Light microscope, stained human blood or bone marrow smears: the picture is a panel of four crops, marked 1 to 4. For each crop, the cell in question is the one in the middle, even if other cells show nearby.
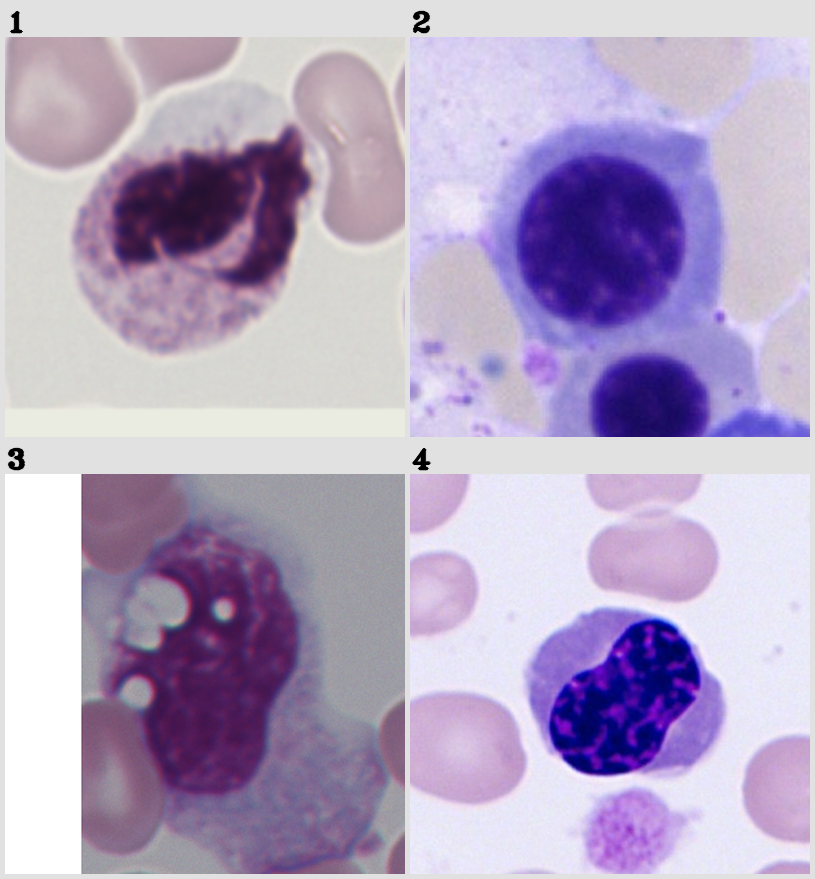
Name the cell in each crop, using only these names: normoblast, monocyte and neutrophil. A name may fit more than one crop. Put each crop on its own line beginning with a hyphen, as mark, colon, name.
- 1: neutrophil
- 2: normoblast
- 3: monocyte
- 4: normoblast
